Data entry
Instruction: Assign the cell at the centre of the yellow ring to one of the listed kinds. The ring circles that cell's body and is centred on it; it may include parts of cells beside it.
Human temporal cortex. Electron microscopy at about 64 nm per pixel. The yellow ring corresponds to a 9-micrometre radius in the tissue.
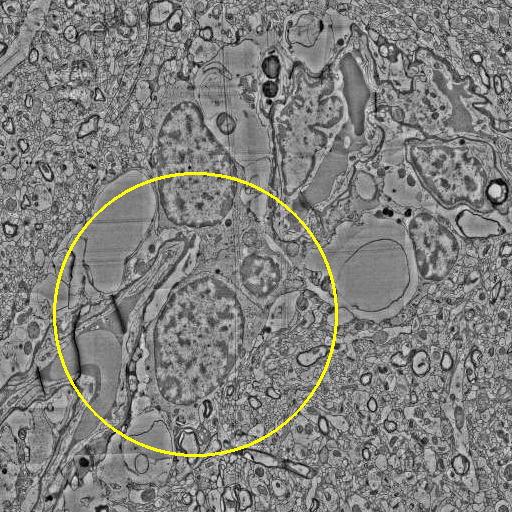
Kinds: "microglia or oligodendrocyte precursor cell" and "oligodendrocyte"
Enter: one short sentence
The centre of the ring falls on an oligodendrocyte.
